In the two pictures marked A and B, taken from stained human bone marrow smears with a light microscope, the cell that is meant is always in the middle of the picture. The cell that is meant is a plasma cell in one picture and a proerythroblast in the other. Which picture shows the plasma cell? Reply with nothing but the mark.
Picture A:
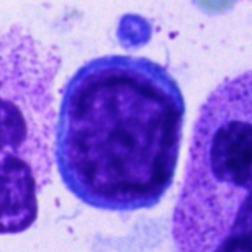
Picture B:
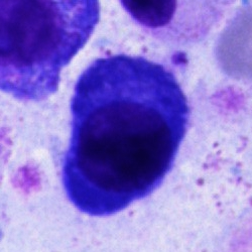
B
